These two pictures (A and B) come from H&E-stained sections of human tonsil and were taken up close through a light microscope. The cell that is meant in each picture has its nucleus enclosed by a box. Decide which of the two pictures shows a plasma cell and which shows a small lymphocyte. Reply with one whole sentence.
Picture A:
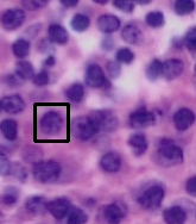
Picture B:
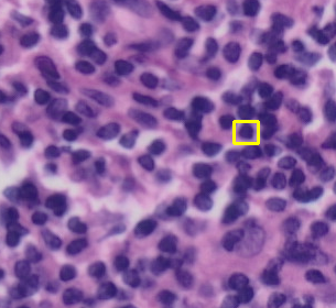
It is picture A that shows a plasma cell, and picture B that shows a small lymphocyte.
